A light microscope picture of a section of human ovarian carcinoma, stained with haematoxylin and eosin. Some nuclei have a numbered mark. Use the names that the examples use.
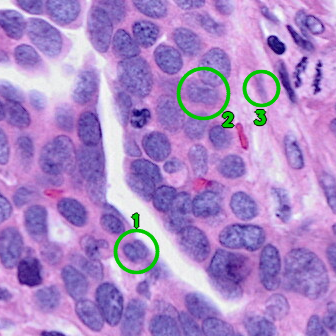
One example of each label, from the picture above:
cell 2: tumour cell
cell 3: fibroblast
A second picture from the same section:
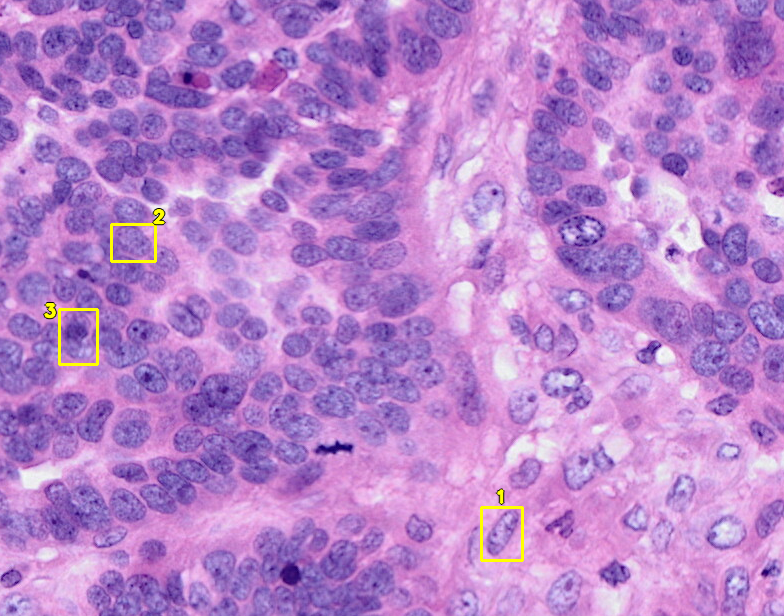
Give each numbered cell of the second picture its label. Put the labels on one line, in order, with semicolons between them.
fibroblast; tumour cell; tumour cell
